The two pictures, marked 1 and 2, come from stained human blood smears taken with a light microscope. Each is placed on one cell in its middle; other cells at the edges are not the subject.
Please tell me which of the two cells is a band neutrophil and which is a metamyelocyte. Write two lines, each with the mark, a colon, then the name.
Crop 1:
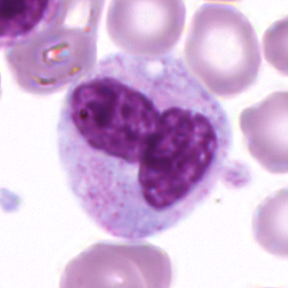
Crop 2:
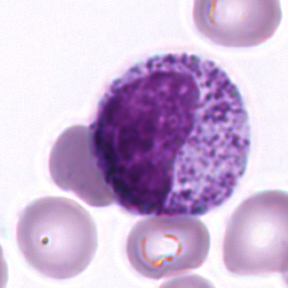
1: band neutrophil
2: metamyelocyte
